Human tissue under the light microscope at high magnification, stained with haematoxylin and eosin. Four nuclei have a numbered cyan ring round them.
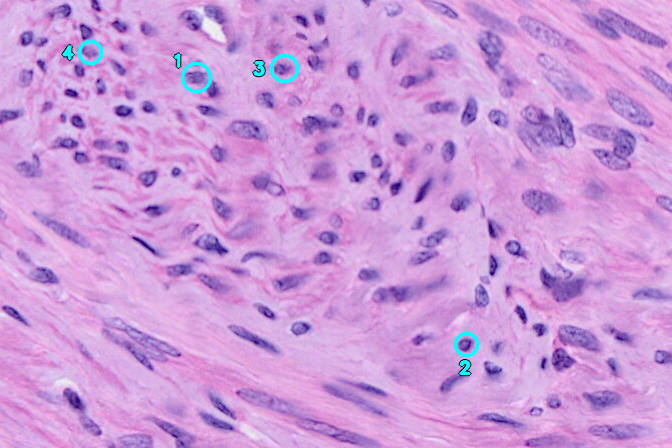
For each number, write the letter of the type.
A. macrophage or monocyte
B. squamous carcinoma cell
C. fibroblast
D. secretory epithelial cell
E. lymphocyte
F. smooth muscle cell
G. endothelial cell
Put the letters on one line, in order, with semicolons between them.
F; C; F; F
